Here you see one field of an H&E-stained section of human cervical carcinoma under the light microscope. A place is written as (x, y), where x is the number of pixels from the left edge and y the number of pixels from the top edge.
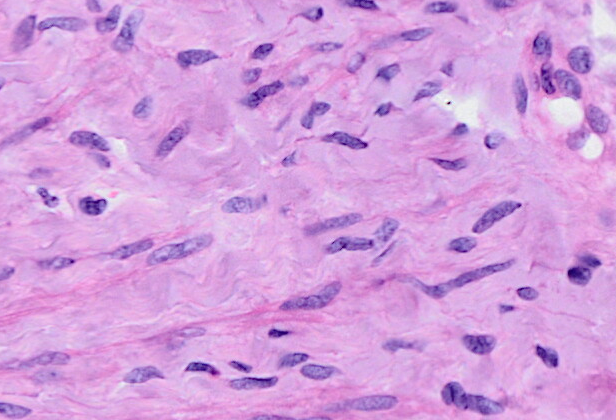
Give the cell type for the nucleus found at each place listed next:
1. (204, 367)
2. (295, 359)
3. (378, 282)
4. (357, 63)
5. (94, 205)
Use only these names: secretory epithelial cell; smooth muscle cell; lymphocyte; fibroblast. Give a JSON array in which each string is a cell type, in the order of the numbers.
["fibroblast", "fibroblast", "smooth muscle cell", "smooth muscle cell", "lymphocyte"]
